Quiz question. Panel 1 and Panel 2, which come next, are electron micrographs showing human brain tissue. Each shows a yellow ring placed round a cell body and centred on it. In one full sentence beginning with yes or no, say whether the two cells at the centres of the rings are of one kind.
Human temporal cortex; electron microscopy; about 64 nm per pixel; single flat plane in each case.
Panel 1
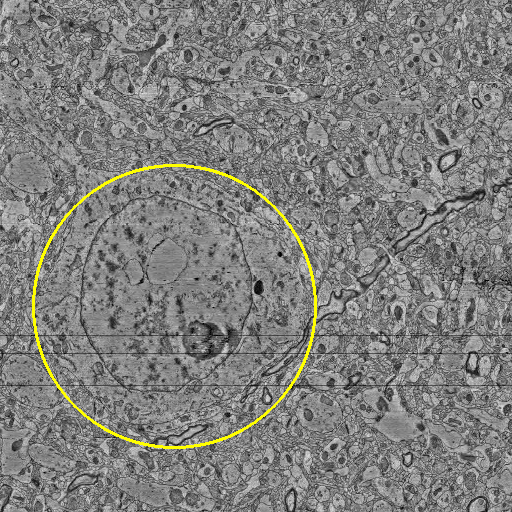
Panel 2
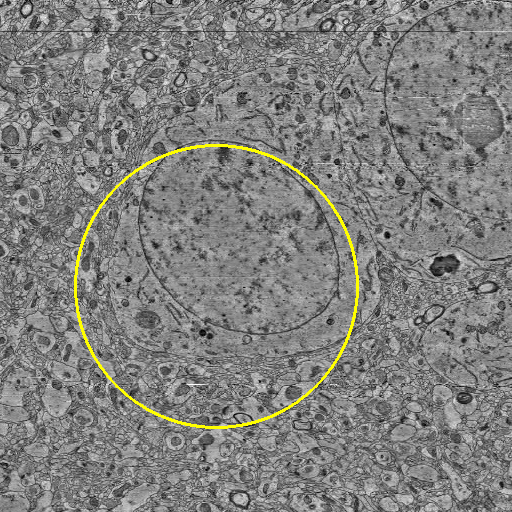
Yes, Panel 1 and Panel 2 show one kind of cell at the centre of the ring.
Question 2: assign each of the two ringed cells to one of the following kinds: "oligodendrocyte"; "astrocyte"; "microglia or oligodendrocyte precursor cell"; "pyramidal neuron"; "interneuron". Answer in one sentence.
Each cell, in the first picture and the second, is a pyramidal neuron.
